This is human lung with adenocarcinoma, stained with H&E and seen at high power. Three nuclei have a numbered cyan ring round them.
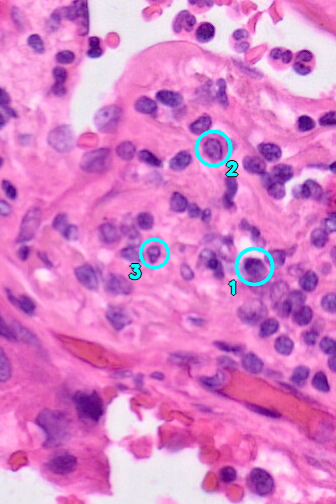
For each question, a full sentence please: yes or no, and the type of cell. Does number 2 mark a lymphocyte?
No, cell 2 is classified as a plasma cell rather than a lymphocyte.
